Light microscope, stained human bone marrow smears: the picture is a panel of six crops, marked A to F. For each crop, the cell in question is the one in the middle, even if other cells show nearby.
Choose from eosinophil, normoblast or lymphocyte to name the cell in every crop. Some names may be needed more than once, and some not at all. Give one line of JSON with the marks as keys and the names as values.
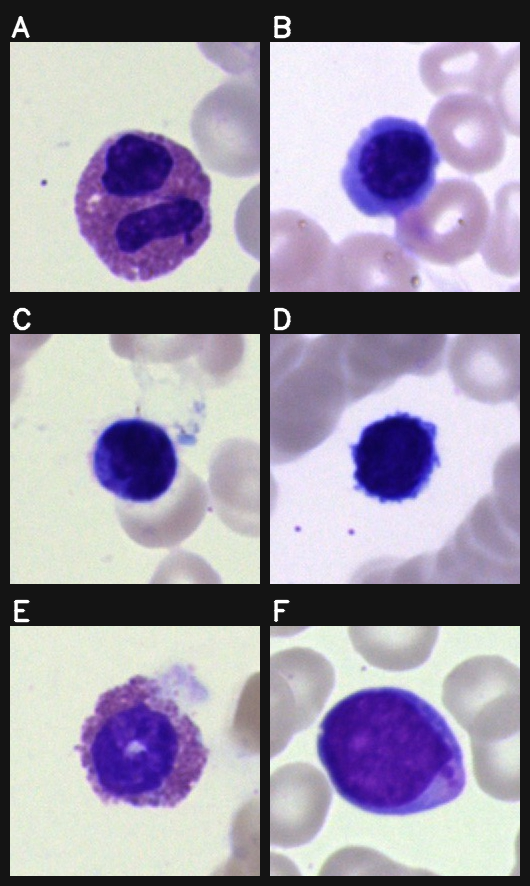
{"A": "eosinophil", "B": "normoblast", "C": "lymphocyte", "D": "lymphocyte", "E": "eosinophil", "F": "lymphocyte"}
